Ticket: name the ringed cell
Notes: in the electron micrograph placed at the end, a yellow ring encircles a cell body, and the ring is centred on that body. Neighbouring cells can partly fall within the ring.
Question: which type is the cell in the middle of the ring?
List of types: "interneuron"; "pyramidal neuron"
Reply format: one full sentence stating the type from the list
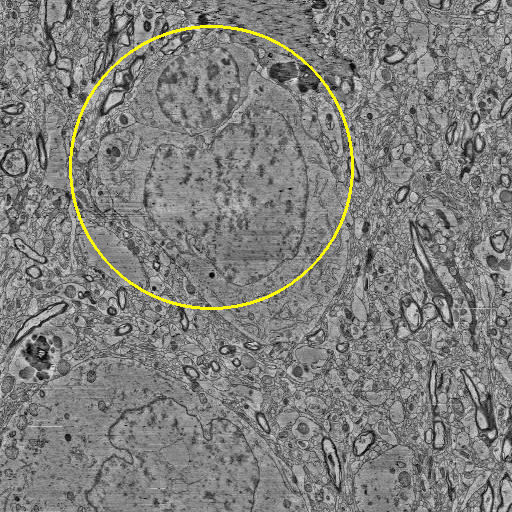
The cell sitting at the centre of the yellow ring is an interneuron.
